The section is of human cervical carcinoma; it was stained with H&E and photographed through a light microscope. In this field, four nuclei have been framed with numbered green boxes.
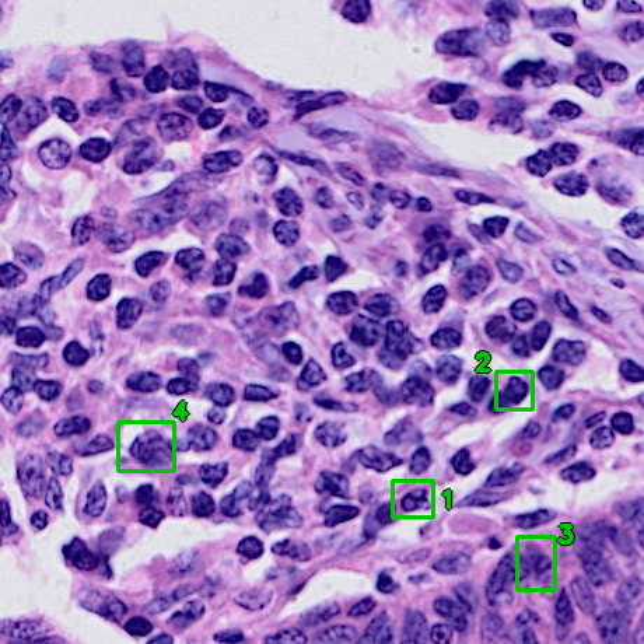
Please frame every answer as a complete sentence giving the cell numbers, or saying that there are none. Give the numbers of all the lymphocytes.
The cells bearing the numbers 1, 2 and 4 are lymphocytes.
